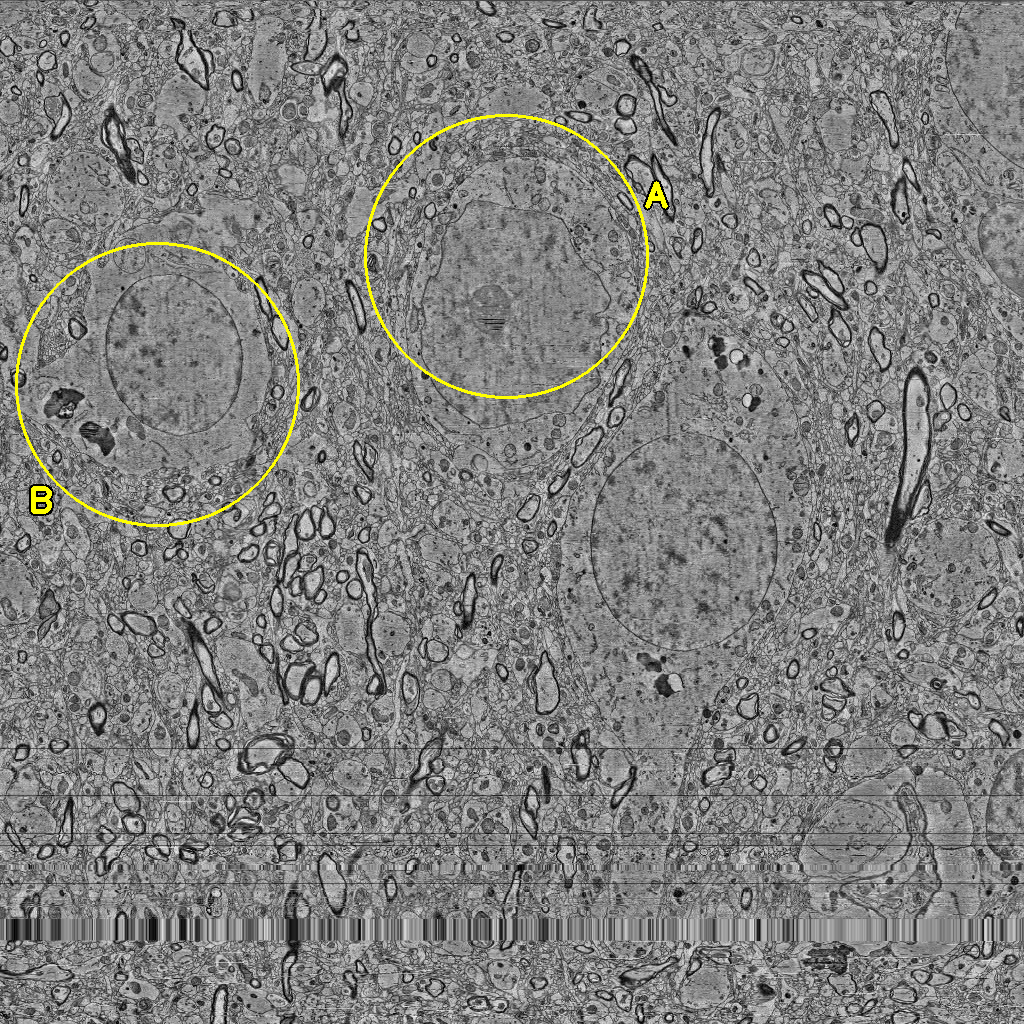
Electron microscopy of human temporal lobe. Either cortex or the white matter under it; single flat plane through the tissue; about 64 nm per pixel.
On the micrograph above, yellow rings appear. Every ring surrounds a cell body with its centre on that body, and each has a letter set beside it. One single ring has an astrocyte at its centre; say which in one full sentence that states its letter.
The answer is ring B, whose centre lies on the cell asked for.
